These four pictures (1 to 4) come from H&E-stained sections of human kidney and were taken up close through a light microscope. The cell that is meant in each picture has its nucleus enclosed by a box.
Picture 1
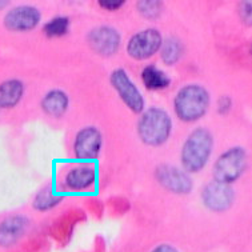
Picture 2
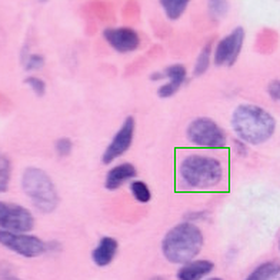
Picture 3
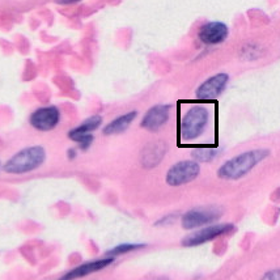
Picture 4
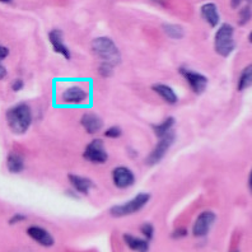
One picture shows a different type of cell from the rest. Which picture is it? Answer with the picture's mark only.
4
